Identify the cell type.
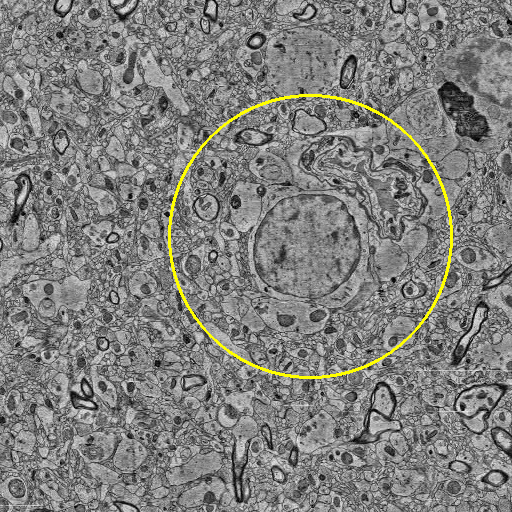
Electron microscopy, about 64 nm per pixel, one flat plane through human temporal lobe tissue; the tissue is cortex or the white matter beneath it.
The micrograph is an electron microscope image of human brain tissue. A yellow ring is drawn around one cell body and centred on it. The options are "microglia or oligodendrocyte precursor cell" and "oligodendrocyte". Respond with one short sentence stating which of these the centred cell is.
The cell body in the ring belongs to a microglial cell or oligodendrocyte precursor cell.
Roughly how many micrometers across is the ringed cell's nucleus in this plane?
About 7 micrometres across in this plane, for the nucleus.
